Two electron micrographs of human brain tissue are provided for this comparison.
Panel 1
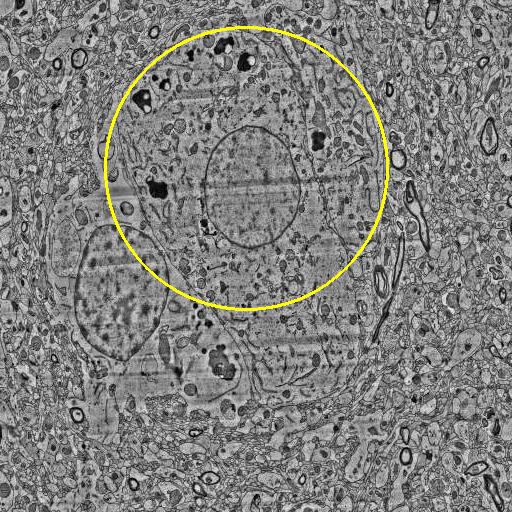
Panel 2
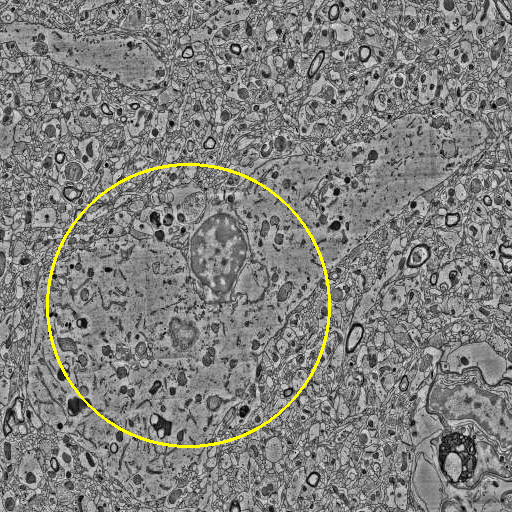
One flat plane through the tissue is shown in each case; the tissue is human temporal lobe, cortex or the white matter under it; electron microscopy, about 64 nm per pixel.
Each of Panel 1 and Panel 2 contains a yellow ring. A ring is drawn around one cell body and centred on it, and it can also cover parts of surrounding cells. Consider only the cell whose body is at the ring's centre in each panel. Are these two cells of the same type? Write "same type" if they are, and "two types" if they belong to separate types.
same type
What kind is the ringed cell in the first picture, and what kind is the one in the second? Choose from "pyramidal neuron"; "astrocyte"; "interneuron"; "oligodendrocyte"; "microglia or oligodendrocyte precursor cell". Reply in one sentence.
Both pictures show a pyramidal neuron at the centre of the ring.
